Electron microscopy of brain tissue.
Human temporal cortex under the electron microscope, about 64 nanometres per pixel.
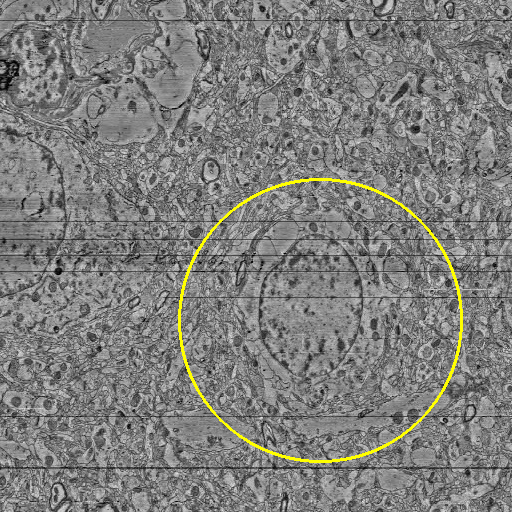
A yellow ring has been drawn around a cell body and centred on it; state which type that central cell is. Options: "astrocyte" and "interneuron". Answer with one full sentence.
The cell at the middle of the yellow ring is an astrocyte in this picture.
